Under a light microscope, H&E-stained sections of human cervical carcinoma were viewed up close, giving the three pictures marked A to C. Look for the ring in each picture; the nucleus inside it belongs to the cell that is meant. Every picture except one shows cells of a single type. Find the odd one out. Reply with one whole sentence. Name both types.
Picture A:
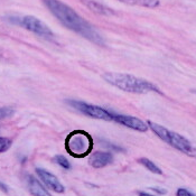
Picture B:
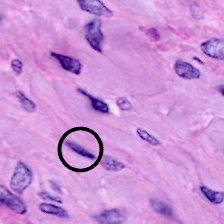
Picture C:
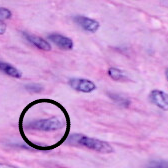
The others show smooth muscle cells, but picture B shows a fibroblast.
